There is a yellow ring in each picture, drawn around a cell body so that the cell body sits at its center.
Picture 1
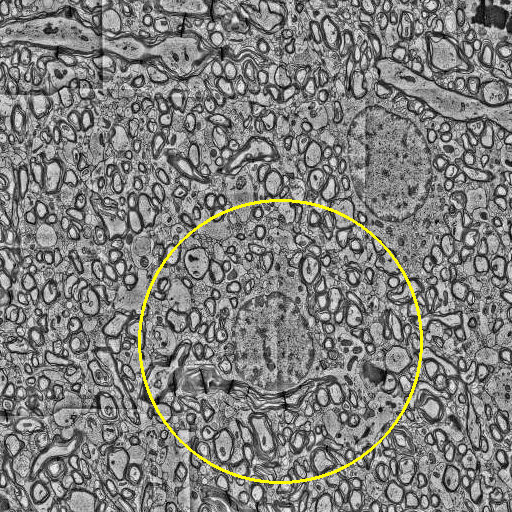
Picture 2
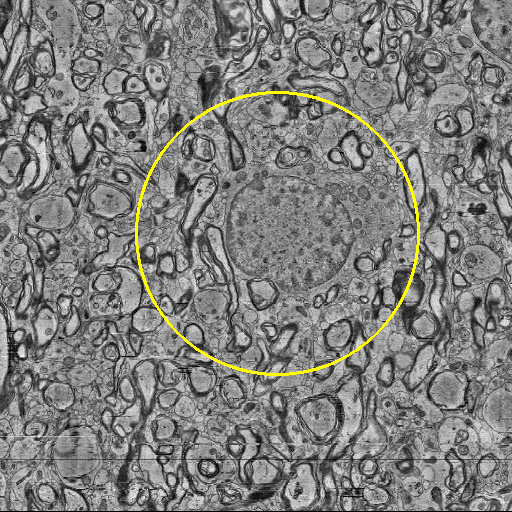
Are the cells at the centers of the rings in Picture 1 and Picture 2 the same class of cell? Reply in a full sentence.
Yes, the two cells are the same class of cell.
